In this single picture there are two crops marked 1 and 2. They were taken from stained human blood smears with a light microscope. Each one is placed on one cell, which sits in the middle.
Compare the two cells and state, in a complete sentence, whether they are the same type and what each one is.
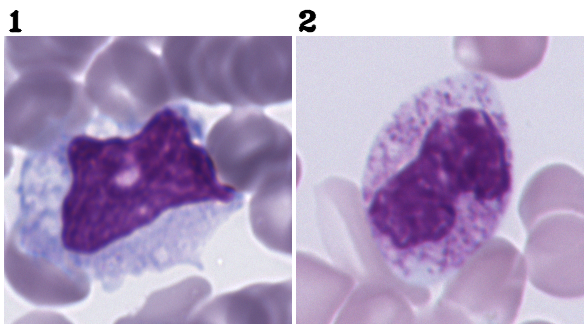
No, a monocyte is depicted by crop 1, a band neutrophil by crop 2.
